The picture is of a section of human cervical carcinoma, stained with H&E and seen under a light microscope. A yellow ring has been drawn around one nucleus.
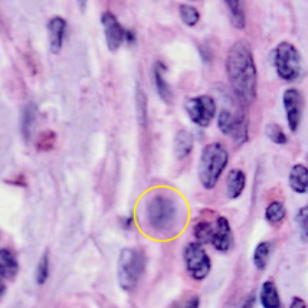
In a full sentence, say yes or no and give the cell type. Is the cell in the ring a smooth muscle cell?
No, instead of a smooth muscle cell, the cell in the ring is a macrophage or monocyte.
